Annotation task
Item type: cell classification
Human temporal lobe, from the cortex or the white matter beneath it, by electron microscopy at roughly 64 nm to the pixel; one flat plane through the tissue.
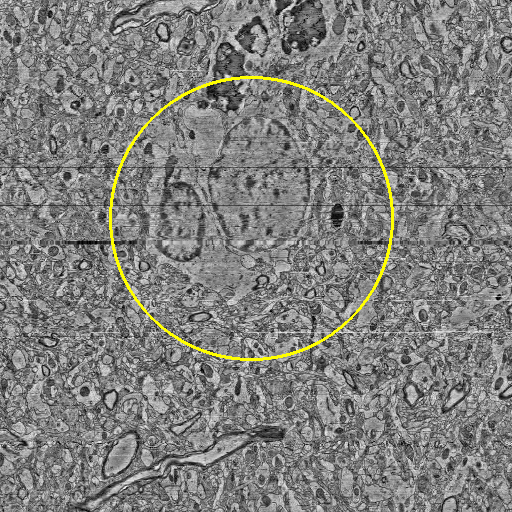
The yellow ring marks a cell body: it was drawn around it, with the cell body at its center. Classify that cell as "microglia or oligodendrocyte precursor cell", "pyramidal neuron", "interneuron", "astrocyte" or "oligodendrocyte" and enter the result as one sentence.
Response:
The ring's center falls on an astrocyte.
